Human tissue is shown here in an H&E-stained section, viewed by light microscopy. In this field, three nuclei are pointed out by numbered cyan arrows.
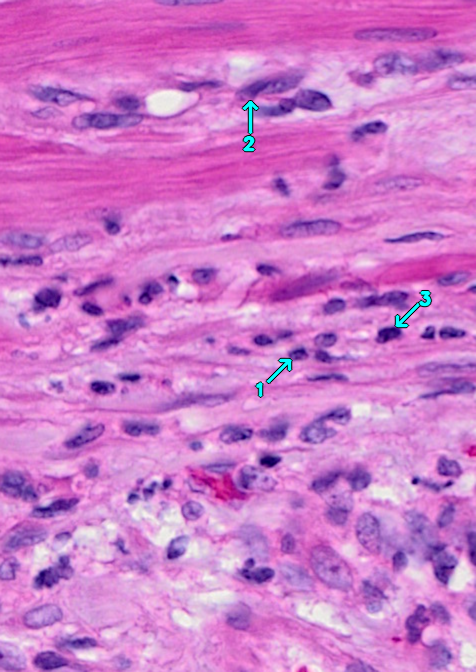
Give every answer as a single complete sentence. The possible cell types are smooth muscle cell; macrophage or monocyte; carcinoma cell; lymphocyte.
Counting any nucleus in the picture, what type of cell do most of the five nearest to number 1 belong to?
Around number 1, most of the five nearest nuclei are those of macrophages or monocytes.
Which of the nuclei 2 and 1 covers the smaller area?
The smaller nucleus is 1, and 2 covers roughly 1.5 times its area.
